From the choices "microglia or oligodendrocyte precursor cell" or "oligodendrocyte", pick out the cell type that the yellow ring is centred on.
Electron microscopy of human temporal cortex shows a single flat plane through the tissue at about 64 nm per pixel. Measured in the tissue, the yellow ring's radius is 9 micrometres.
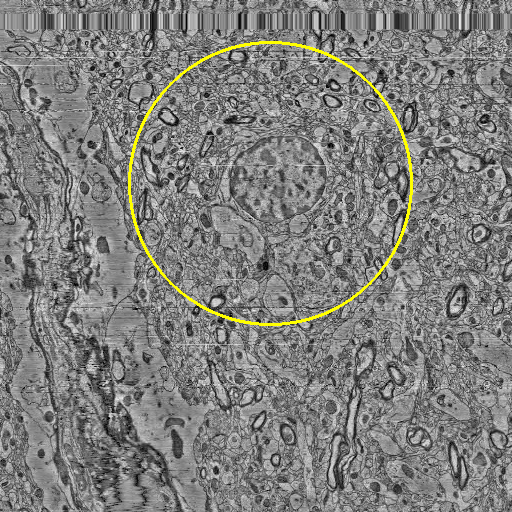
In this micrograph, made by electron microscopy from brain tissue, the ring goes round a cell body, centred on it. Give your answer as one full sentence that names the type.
The yellow ring is centred on a microglial cell or oligodendrocyte precursor cell, whose cell body it encircles in the picture.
